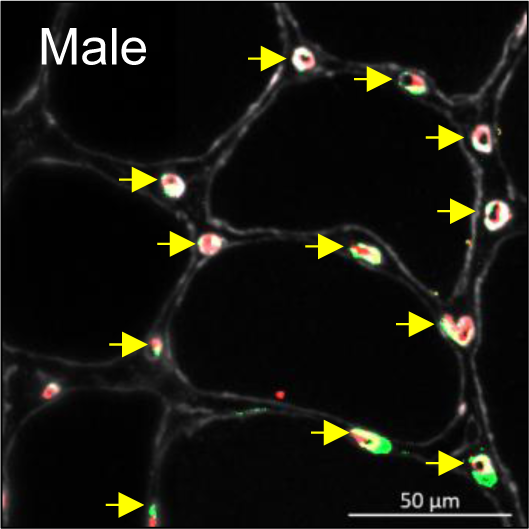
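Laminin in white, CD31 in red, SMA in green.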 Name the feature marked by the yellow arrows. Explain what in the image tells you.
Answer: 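Microvessels. They sit in the white-outlined spaces between the large dark polygons.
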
